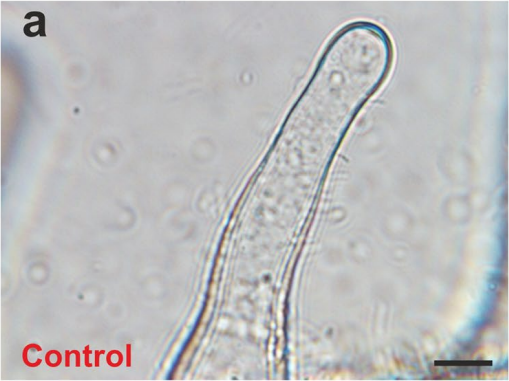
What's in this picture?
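This is a single root hair, a long tubular outgrowth with a smoothly rounded, dome-shaped tip. Its wall is thin and even, and the granular cytoplasm fills the tube right up to the wall.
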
